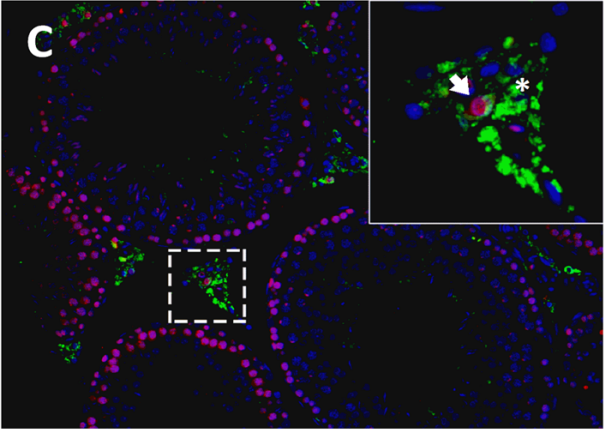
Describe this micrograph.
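Here a testis section shows several seminiferous tubules whose outer layer carries red-pink nuclei, with the interstitial tissue between them holding groups of Leydig cells. These interstitial cells have bright green, granular cytoplasm and mostly blue nuclei. In the enlarged inset a triangular interstitial cluster contains one cell with a red nucleus among green-stained neighbours.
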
